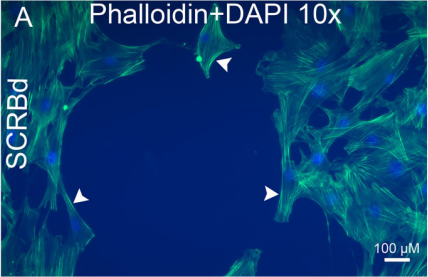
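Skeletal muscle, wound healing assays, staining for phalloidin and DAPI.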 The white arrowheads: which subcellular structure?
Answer: actin stress fibers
